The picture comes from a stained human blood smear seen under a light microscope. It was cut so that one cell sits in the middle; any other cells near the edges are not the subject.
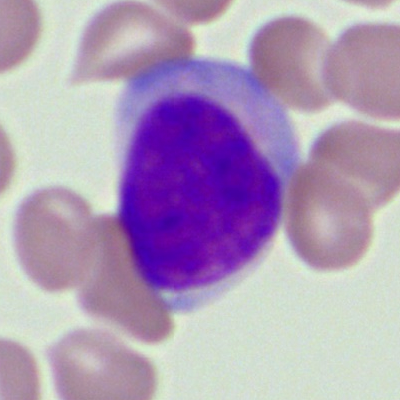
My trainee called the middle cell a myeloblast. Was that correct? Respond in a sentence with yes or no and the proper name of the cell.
Yes, the cell positioned in the middle is a myeloblast.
